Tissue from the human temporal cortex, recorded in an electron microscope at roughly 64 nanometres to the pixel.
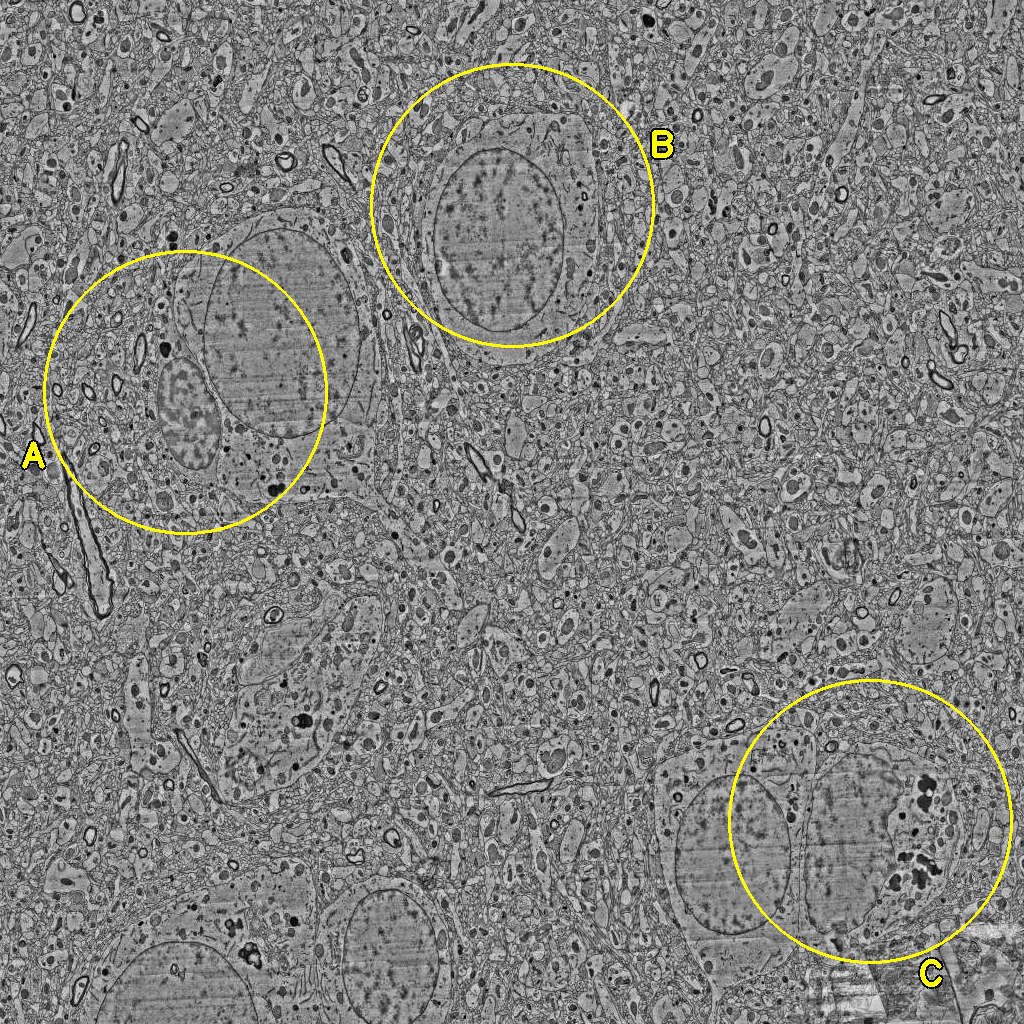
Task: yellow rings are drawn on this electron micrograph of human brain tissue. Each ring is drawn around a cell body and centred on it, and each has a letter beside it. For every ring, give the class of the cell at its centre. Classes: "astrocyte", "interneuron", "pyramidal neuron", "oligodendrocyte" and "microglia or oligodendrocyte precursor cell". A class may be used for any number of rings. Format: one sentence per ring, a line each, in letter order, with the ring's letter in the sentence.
The cell ringed as A is an oligodendrocyte.
The cell ringed as B is a pyramidal neuron.
The cell ringed as C is an interneuron.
